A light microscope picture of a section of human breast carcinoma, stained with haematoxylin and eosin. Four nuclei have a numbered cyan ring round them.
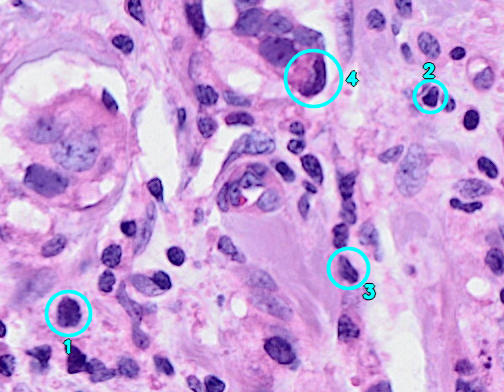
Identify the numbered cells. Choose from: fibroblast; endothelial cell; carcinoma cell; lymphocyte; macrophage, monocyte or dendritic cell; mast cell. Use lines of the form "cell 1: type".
cell 1: carcinoma cell
cell 2: lymphocyte
cell 3: lymphocyte
cell 4: carcinoma cell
